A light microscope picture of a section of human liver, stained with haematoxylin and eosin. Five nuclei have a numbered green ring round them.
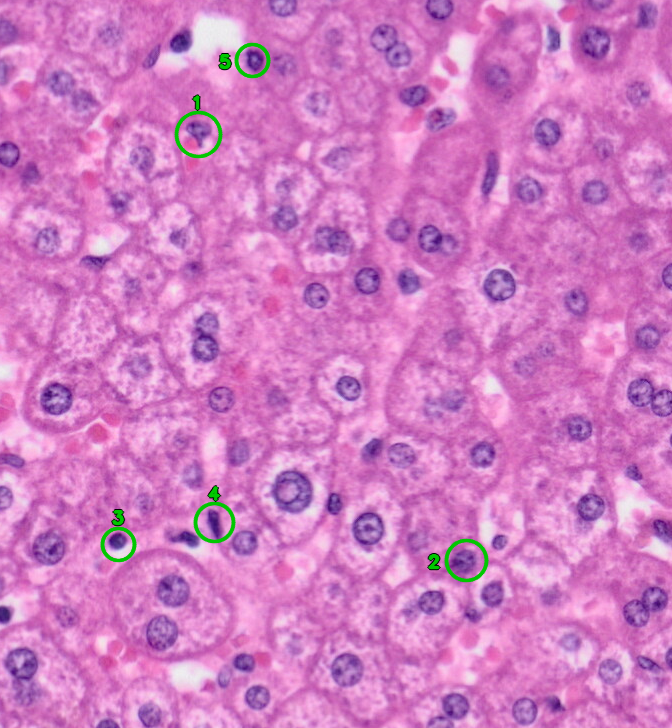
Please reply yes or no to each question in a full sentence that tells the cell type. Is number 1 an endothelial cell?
Yes, regarding cell number 1, it is an endothelial cell.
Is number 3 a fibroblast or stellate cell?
No, cell 3 is classified as a lymphocyte rather than a fibroblast or stellate cell.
